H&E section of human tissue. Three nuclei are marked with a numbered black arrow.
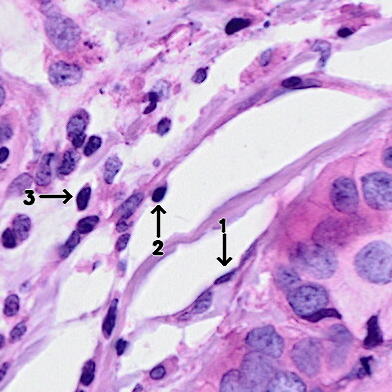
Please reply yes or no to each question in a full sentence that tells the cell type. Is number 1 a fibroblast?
Yes, what number 1 marks is a fibroblast.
